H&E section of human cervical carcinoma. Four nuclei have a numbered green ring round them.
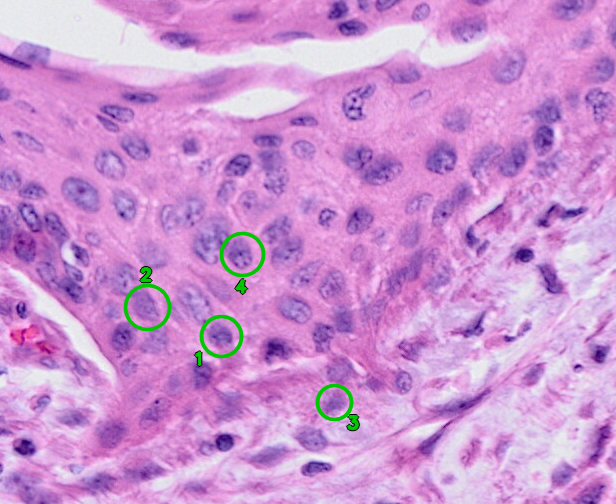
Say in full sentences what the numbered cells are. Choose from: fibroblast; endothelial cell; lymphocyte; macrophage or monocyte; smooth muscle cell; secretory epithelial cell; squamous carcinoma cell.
Cell 1 is a squamous carcinoma cell, cell 2 is a squamous carcinoma cell, cell 3 is a fibroblast and cell 4 is a squamous carcinoma cell.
